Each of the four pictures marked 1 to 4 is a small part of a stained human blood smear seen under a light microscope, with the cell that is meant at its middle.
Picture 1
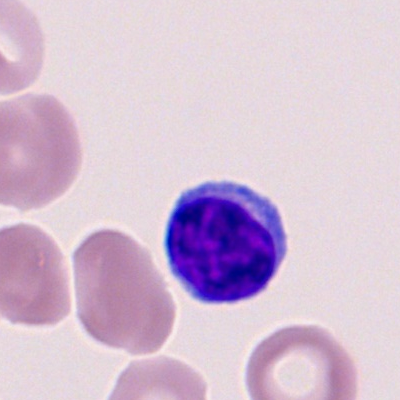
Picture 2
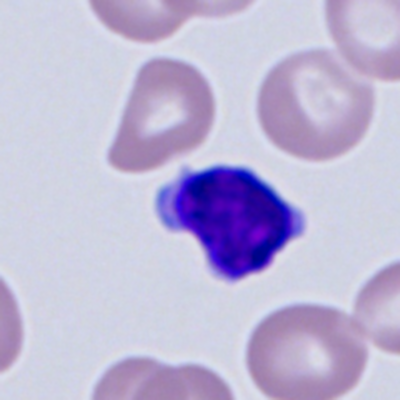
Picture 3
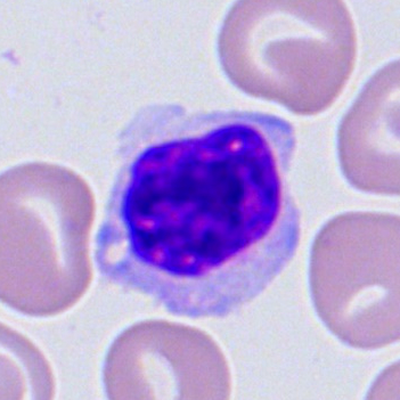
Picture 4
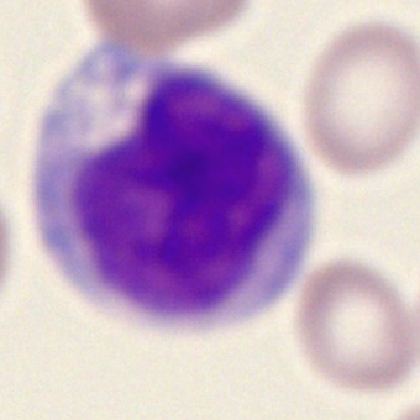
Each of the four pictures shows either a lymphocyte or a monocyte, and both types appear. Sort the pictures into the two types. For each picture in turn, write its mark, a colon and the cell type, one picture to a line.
1: lymphocyte
2: lymphocyte
3: lymphocyte
4: monocyte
